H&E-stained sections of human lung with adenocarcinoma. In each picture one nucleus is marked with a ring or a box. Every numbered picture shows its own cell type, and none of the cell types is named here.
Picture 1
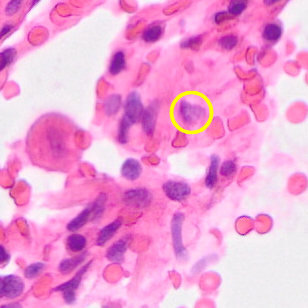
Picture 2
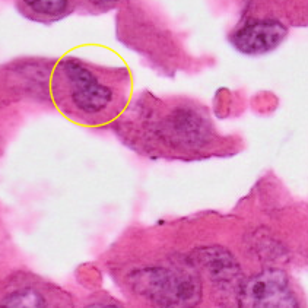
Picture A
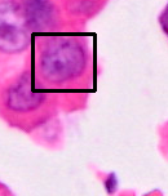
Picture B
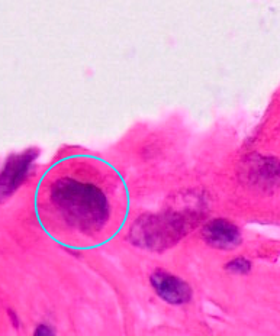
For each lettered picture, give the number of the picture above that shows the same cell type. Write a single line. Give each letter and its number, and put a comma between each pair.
A 2, B 2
